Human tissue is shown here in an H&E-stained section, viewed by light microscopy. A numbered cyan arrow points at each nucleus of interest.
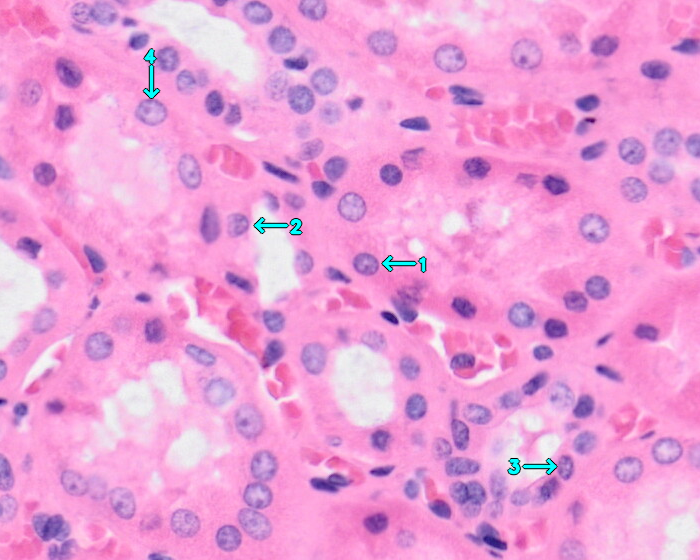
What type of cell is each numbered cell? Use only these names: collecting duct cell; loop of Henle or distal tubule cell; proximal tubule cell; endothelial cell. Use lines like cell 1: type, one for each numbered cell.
cell 1: proximal tubule cell
cell 2: loop of Henle or distal tubule cell
cell 3: collecting duct cell
cell 4: proximal tubule cell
